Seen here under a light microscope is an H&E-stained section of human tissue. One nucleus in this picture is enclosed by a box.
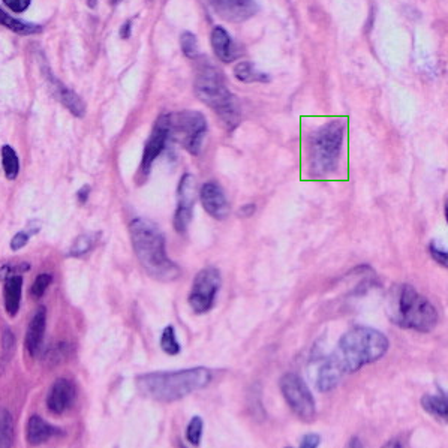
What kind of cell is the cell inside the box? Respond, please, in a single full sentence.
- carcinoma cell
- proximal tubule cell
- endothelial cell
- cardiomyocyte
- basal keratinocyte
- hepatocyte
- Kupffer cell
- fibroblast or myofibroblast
So far as cell type goes, the cell inside the box is a fibroblast or myofibroblast.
